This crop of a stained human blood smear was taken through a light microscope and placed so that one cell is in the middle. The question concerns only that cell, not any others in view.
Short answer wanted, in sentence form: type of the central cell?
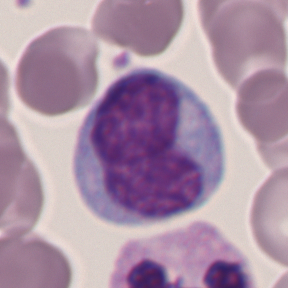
In the centre of this crop there is a monocyte.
